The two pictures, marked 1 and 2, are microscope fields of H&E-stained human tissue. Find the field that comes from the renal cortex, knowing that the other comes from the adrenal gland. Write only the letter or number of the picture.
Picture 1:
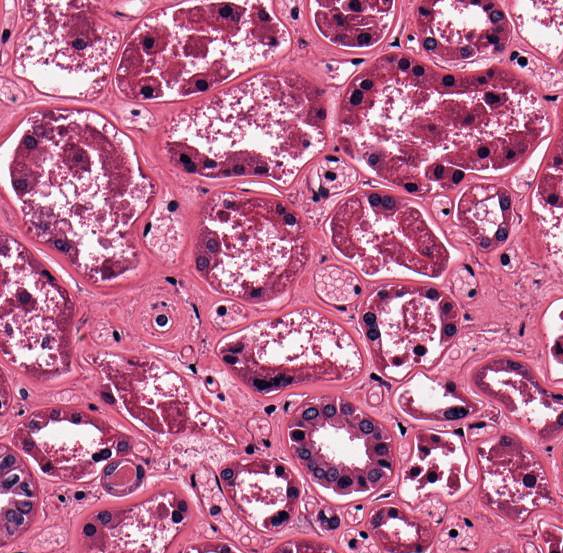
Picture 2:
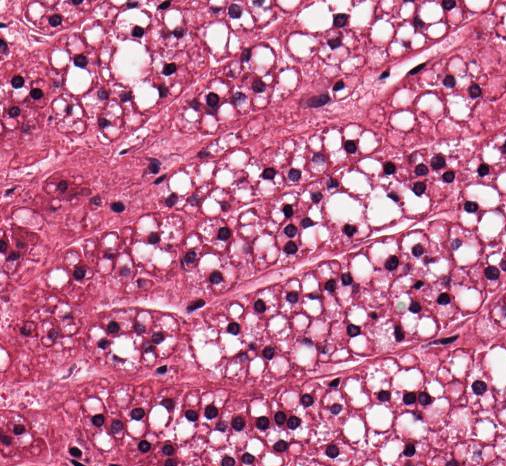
1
